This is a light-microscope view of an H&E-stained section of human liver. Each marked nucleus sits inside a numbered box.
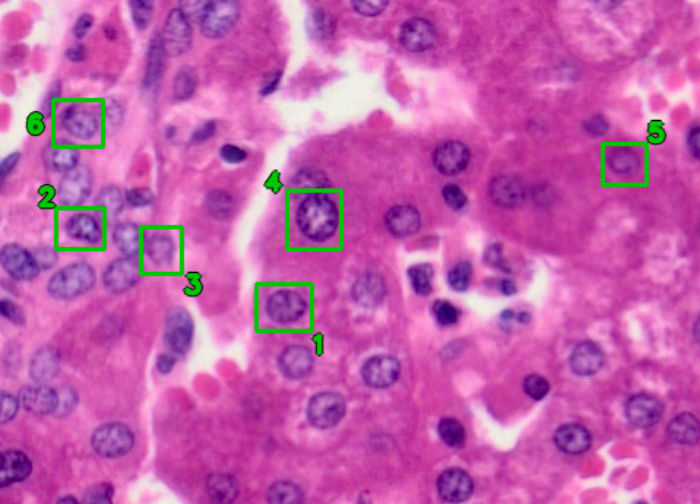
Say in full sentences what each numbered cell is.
Cell 1 is a hepatocyte, cell 2 is a cholangiocyte, cell 3 is a cholangiocyte, cell 4 is a hepatocyte, cell 5 is a hepatocyte and cell 6 is a cholangiocyte.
